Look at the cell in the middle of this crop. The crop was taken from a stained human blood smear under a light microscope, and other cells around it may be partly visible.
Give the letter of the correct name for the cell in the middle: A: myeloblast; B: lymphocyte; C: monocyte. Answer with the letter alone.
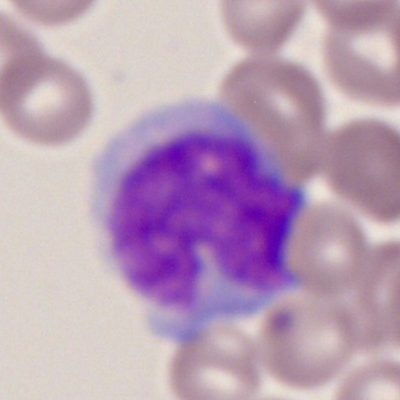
C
